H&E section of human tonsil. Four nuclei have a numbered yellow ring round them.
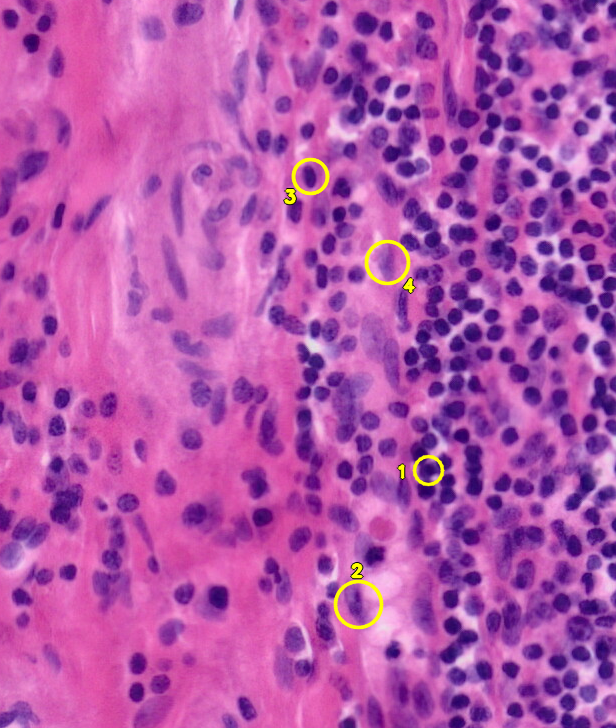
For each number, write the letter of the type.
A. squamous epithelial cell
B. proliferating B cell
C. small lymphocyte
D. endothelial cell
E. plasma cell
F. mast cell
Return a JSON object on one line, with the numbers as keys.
{"1": "C", "2": "D", "3": "F", "4": "D"}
